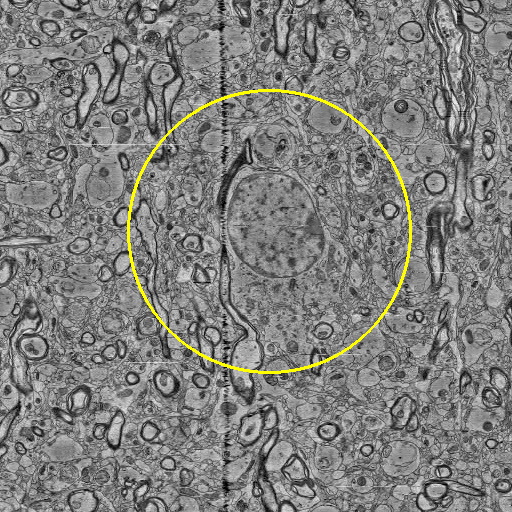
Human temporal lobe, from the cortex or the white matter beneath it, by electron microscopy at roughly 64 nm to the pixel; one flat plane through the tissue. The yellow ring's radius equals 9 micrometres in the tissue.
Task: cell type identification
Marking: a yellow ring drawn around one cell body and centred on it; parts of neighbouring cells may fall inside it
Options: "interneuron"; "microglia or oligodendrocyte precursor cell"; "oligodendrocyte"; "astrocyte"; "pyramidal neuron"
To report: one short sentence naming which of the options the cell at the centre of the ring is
The cell at the centre of the ring is a microglial cell or oligodendrocyte precursor cell.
